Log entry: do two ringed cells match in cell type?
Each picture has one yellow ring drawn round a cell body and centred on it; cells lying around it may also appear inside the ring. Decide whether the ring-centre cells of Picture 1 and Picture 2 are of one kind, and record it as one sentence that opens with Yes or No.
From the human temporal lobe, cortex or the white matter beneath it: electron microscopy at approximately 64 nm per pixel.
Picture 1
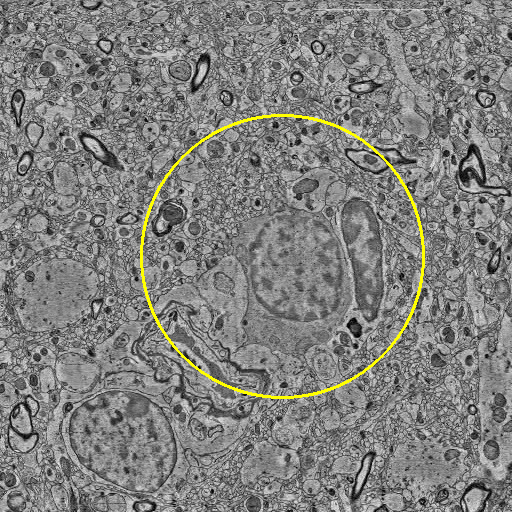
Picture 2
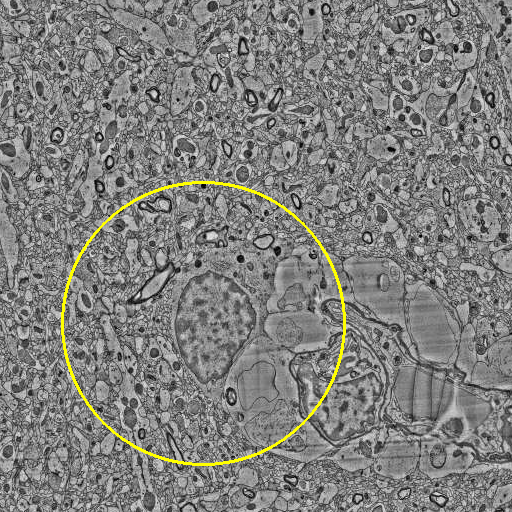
Yes, the cells at the ring centres of the two pictures belong to one kind.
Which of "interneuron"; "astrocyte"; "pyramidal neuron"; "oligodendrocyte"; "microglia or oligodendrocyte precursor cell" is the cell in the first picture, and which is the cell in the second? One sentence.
Each of the ringed cells, first and second, is an oligodendrocyte.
